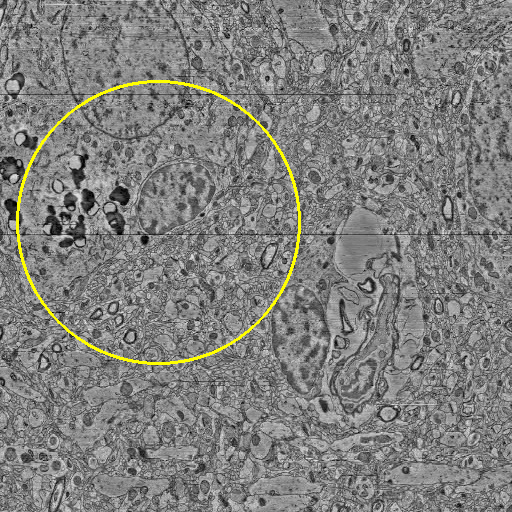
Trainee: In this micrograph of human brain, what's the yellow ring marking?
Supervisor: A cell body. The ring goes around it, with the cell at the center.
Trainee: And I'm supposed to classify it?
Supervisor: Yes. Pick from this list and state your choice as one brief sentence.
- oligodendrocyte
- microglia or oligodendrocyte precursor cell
The cell at the ring's center is a microglial cell or oligodendrocyte precursor cell.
